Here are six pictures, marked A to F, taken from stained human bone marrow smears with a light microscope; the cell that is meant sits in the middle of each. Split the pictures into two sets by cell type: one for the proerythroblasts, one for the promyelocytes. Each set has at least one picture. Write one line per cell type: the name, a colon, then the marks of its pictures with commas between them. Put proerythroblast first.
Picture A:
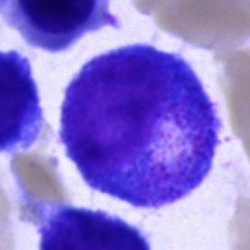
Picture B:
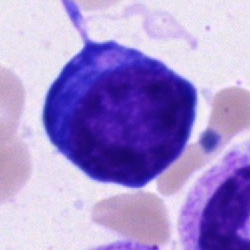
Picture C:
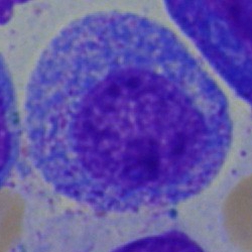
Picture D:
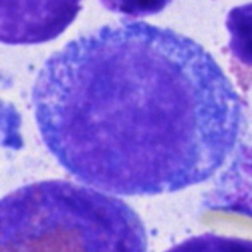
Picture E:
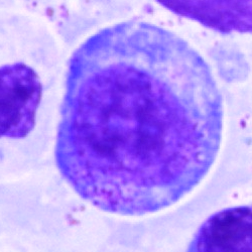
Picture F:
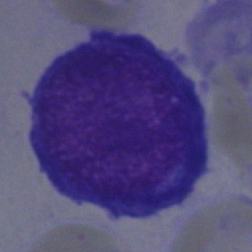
proerythroblast: B, F
promyelocyte: A, C, D, E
